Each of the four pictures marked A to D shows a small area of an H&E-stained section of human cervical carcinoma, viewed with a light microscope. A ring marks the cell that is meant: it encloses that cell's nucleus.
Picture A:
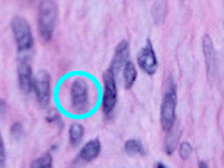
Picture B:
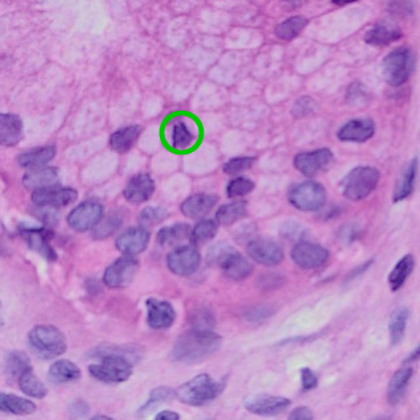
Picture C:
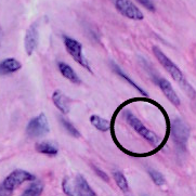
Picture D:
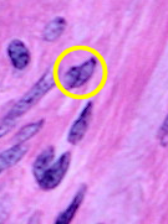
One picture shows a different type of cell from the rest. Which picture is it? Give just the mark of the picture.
B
